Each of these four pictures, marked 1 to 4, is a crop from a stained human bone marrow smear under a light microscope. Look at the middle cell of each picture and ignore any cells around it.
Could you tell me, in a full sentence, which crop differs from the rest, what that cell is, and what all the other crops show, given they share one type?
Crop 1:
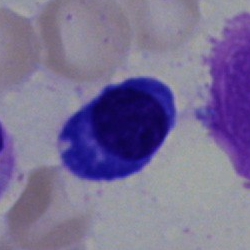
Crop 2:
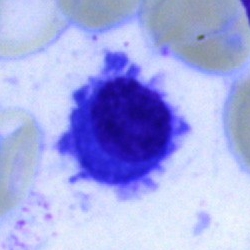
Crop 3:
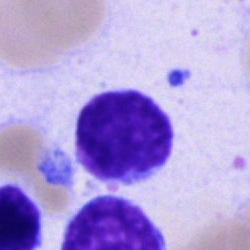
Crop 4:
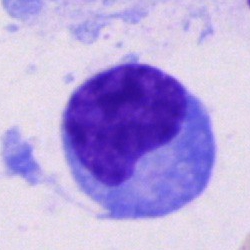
In every crop except crop 3, which shows a lymphocyte, plasma cells are shown.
